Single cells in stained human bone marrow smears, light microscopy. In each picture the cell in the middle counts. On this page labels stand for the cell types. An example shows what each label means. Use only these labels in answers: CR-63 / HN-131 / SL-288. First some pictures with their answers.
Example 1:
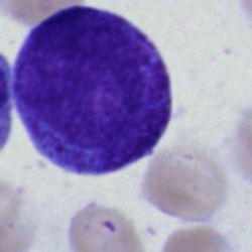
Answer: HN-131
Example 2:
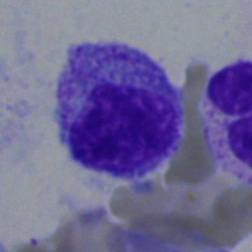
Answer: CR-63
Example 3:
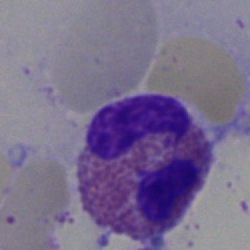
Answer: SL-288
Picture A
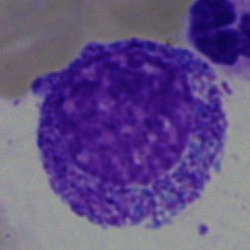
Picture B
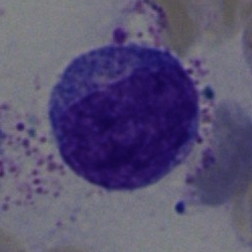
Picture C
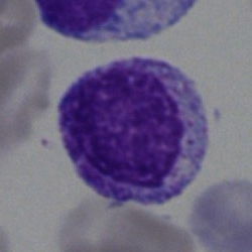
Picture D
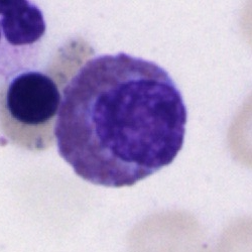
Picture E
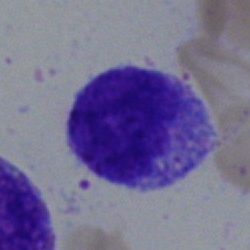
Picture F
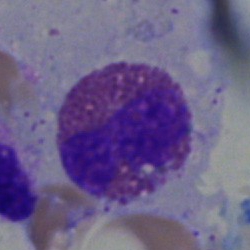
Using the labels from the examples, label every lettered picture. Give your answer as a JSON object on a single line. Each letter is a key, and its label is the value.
{"A": "HN-131", "B": "CR-63", "C": "CR-63", "D": "SL-288", "E": "CR-63", "F": "SL-288"}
